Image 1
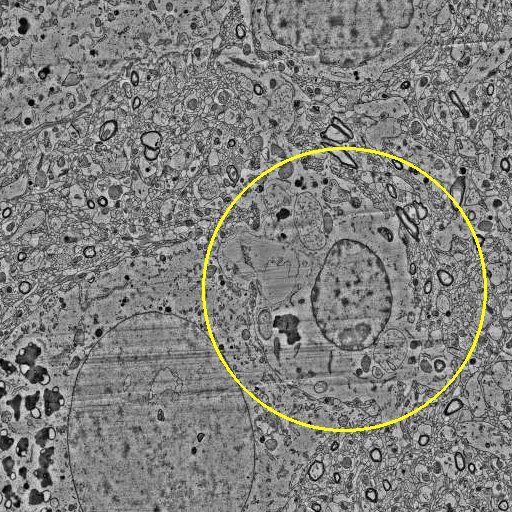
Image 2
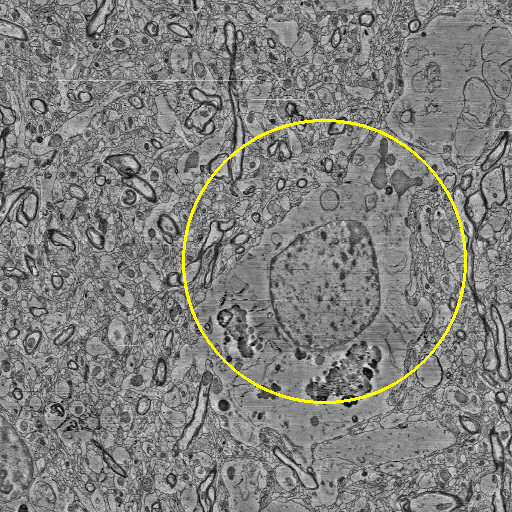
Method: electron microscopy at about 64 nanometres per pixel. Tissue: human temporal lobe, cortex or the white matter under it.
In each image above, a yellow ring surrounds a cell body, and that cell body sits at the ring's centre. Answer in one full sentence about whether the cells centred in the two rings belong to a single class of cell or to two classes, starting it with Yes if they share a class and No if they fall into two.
Yes, the cells centred in the two yellow rings belong to a single class of cell.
